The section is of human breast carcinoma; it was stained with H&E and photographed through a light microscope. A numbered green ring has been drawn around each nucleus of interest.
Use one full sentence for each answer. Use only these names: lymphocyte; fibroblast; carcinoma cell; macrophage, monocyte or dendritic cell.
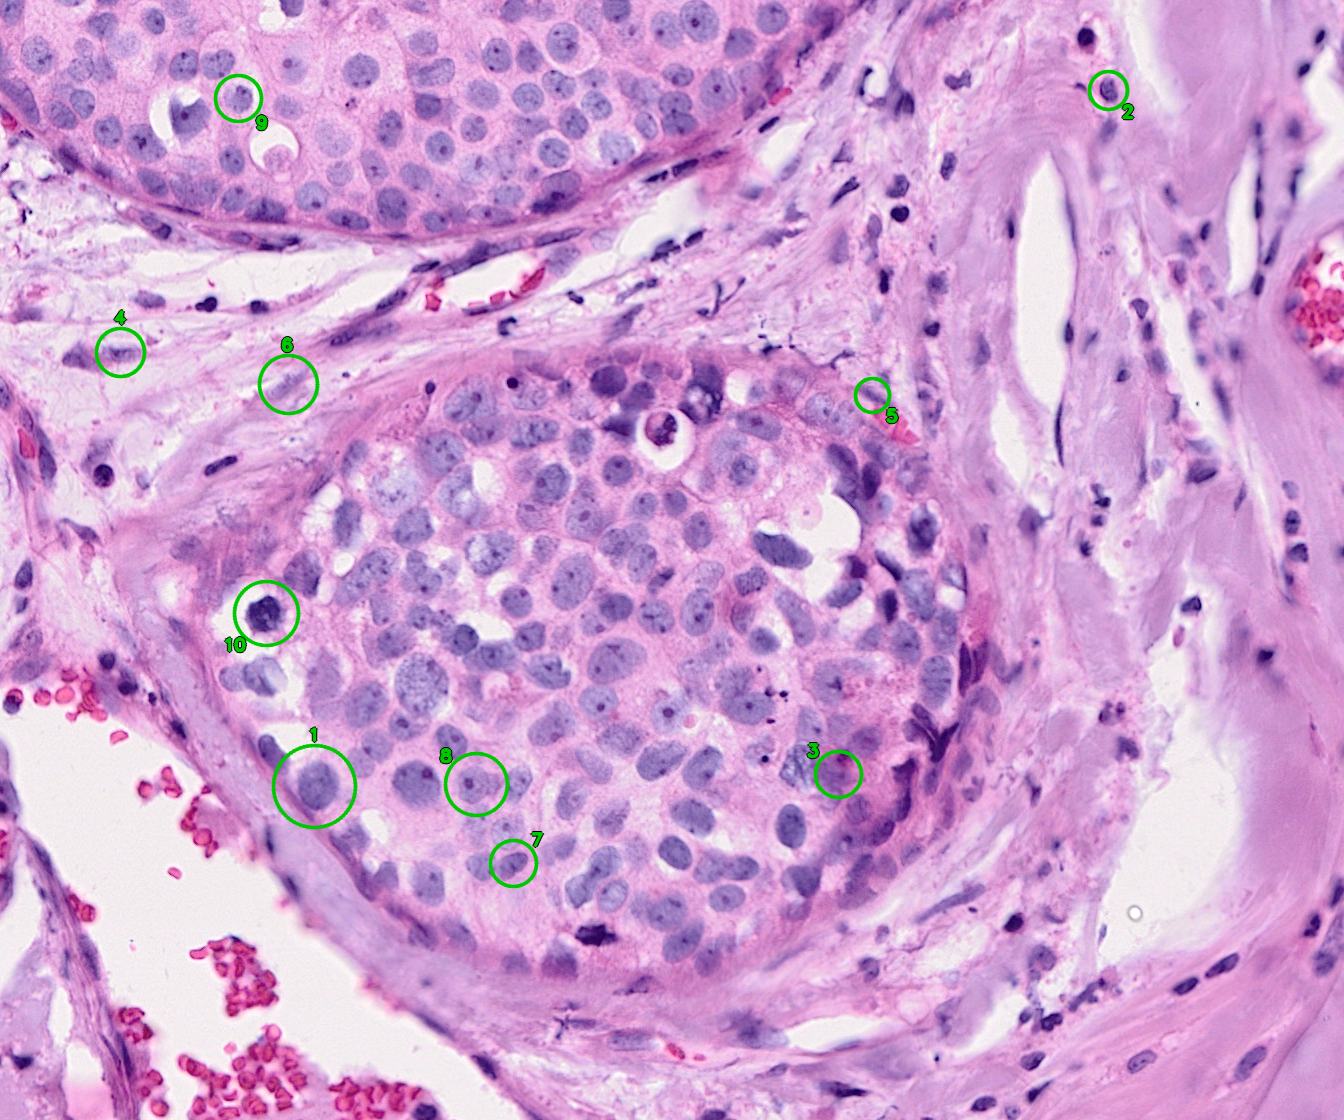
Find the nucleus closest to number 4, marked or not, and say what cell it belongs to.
Closest to number 4 lies the nucleus of a fibroblast.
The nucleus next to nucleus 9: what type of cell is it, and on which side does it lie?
A carcinoma cell lies closest, above and to the left of nucleus 9.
